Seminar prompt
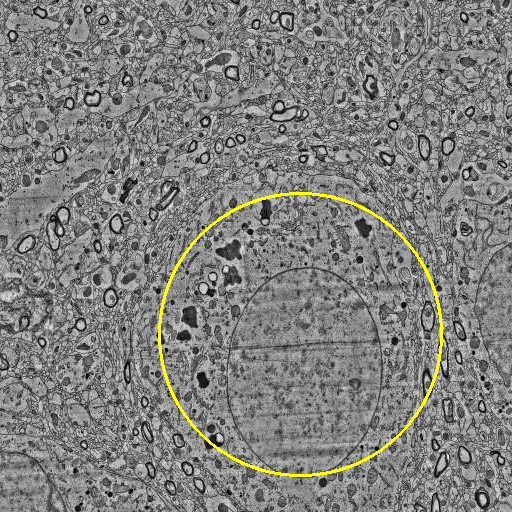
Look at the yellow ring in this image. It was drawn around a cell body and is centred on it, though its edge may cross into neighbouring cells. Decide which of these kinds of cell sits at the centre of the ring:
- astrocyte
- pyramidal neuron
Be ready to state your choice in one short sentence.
The kind of cell at the ring's centre is a pyramidal neuron.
